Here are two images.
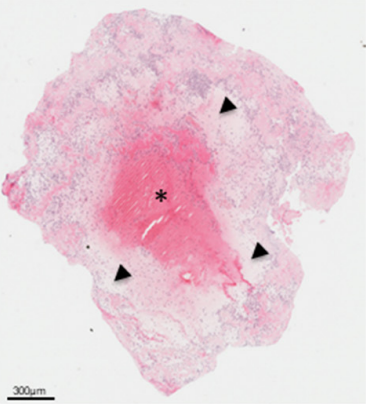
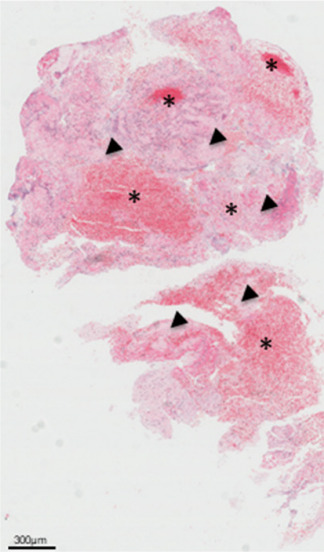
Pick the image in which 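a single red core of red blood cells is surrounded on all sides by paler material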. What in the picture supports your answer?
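First image: one compact intensely red mass lies in the centre, ringed by pale pink-lilac material. Second image: several separate intensely red patches are scattered among paler areas. On this evidence: the first image.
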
